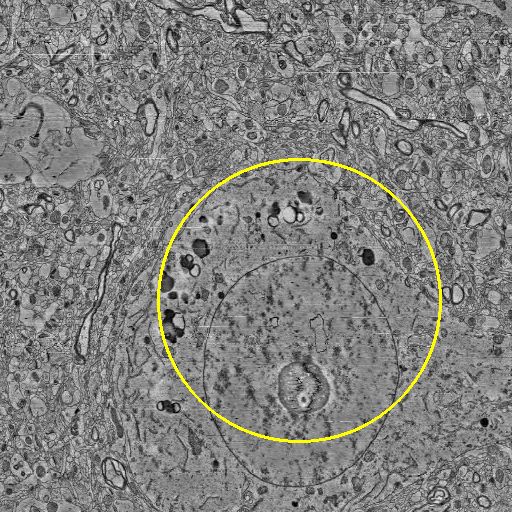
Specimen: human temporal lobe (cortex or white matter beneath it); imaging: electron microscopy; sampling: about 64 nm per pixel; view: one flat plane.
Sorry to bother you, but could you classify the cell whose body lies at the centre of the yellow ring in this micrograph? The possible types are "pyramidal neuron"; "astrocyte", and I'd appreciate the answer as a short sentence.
The ringed cell body is that of a pyramidal neuron.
